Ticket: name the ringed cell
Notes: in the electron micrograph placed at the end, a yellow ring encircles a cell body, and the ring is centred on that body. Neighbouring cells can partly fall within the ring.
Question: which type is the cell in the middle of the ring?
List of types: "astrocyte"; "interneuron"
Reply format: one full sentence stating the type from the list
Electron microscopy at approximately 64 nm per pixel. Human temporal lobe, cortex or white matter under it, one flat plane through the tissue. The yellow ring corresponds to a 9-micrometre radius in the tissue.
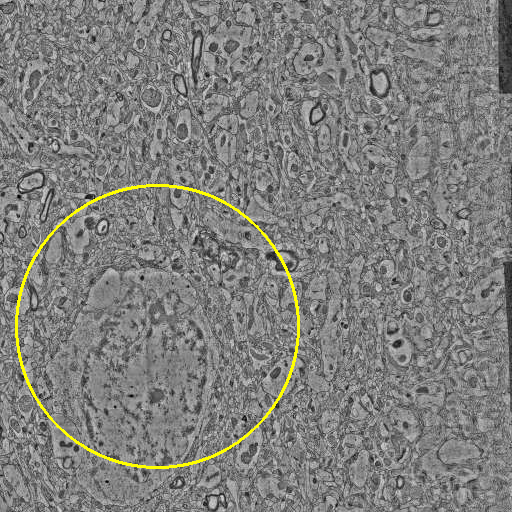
The cell sitting at the centre of the yellow ring is an interneuron.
